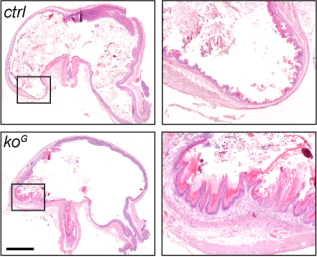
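Low-magnification sections of the stomach, with the wall and lumen of the organ outlined in pink and purple, and enlargements of a boxed region of the forestomach wall beside each overview. In the upper enlargement the wall is a thin band of stratified epithelium lining an open lumen. In the lower enlargement the lining epithelium is markedly thickened and thrown into tall folds, each capped by a thick deep-pink layer, consistent with hyperkeratosis.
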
